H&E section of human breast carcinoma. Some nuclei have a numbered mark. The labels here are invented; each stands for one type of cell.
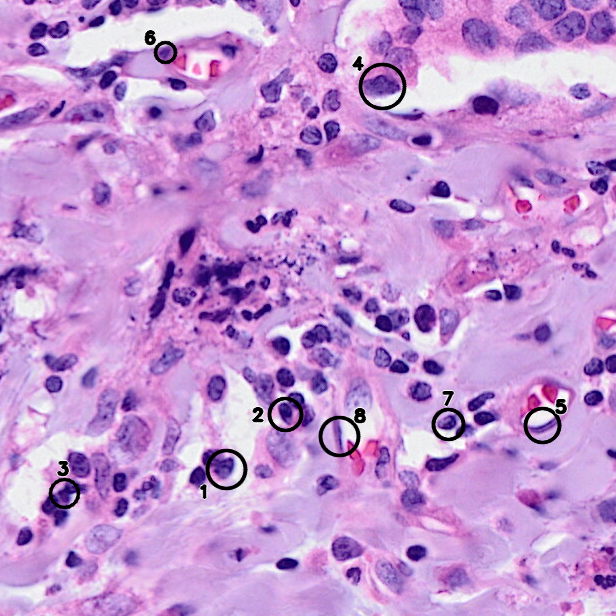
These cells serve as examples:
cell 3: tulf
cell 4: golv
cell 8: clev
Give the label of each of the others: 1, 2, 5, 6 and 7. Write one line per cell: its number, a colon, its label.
1: tulf
2: tulf
5: clev
6: clev
7: tulf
